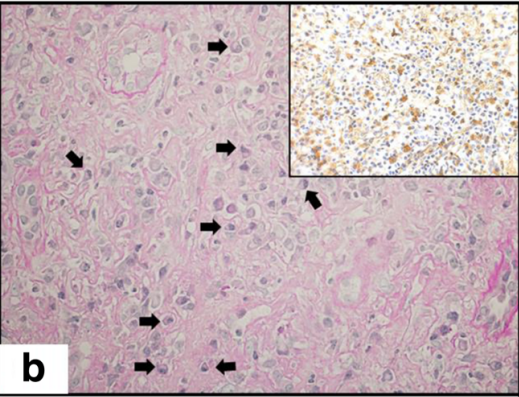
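The renal interstitium is densely filled with plasma cells, which have round, eccentric nuclei and a rim of pale cytoplasm. Between the cells runs pale pink fibrous tissue, and only a few small, shrunken tubules remain. The inset shows many of the infiltrating cells with brown-stained cytoplasm.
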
